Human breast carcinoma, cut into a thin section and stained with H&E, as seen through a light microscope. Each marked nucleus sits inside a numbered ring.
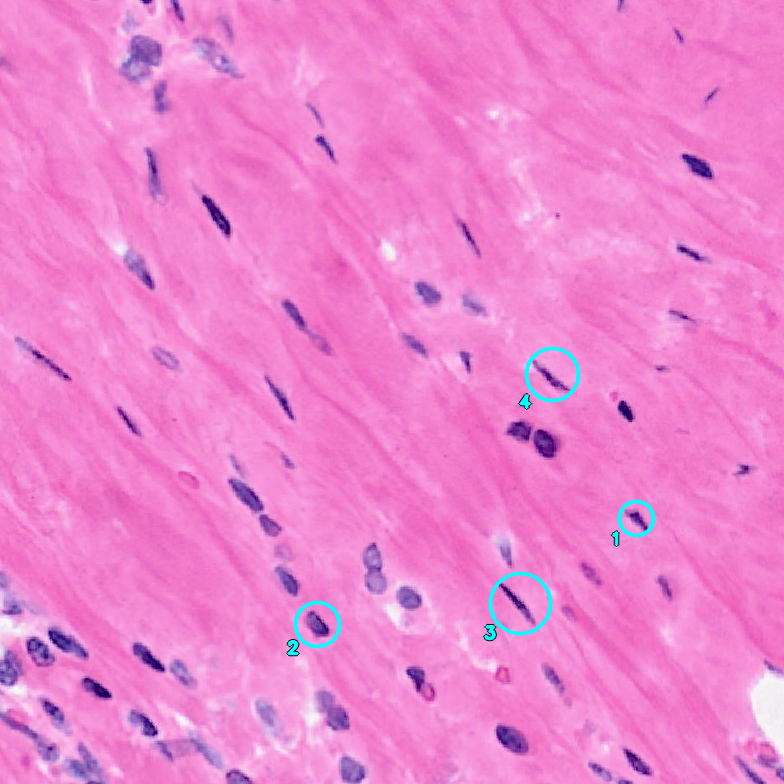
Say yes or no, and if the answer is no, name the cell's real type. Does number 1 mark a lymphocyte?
No, it is a fibroblast.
